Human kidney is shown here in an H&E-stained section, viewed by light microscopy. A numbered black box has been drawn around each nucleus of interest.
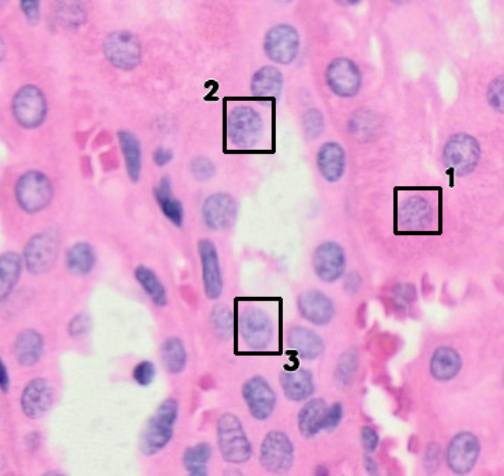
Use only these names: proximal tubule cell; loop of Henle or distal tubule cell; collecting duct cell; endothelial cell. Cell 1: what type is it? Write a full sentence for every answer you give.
Classified as a proximal tubule cell is the cell with the number 1.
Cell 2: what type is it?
The expected answer is that cell 2 is a collecting duct cell.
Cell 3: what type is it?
The cell numbered 3 represents a collecting duct cell.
